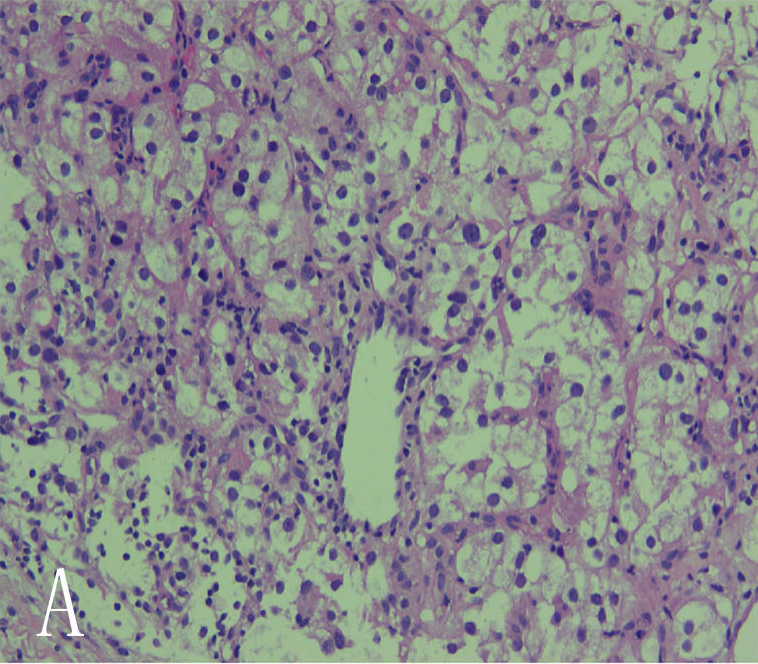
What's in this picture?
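Tumor tissue of cancer cells arranged in solid nests and sheets. The cells are polygonal with abundant pale, clear to finely granular cytoplasm and distinct cell borders. Nuclei are round to oval and dark, mostly central, with some variation in size and a few larger nuclei. Scattered small dark round cells, probably inflammatory, lie in the septa, more numerous toward the left edge.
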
